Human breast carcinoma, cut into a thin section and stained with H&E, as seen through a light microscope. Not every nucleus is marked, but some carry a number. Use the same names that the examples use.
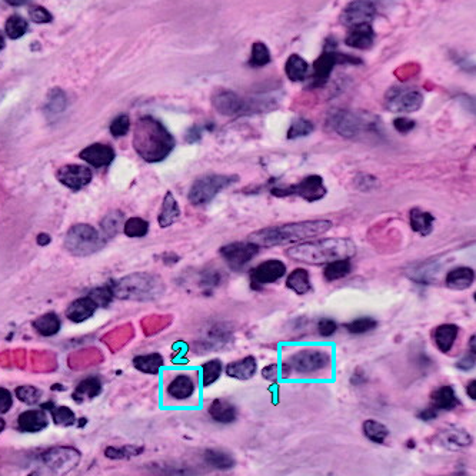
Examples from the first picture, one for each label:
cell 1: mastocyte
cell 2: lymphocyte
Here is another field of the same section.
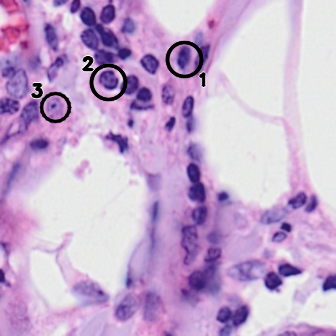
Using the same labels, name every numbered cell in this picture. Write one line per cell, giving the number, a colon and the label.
1: lymphocyte
2: lymphocyte
3: mastocyte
